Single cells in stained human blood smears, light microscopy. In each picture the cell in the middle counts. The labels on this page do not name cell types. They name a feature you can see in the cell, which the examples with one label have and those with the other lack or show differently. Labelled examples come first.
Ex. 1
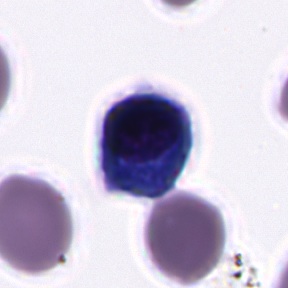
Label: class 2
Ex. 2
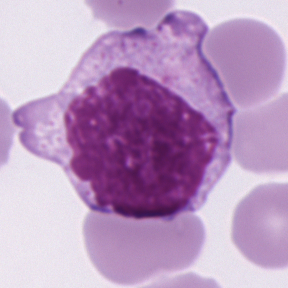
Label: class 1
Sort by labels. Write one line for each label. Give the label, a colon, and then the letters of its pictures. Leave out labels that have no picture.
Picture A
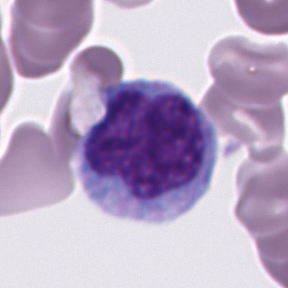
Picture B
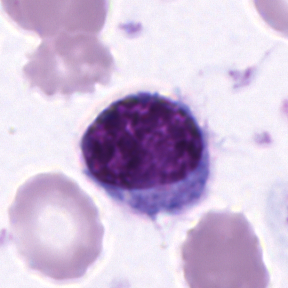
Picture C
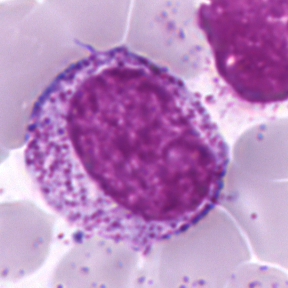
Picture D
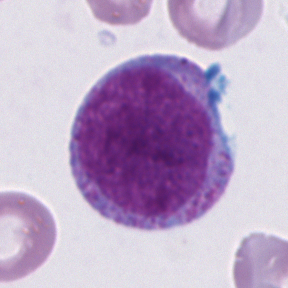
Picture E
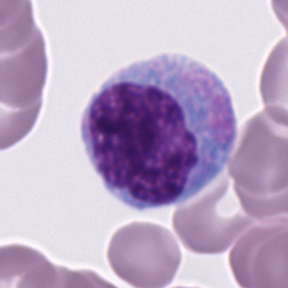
class 2: A, E
class 1: B, C, D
